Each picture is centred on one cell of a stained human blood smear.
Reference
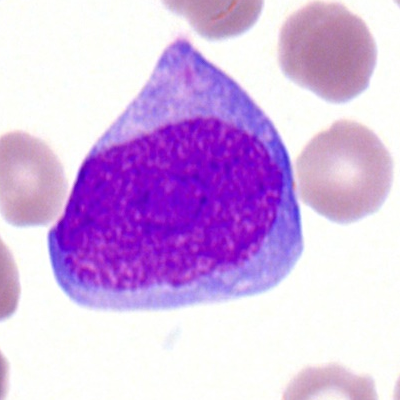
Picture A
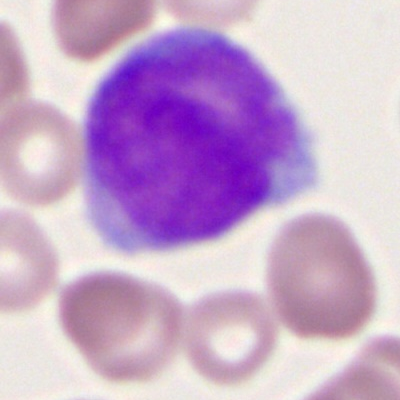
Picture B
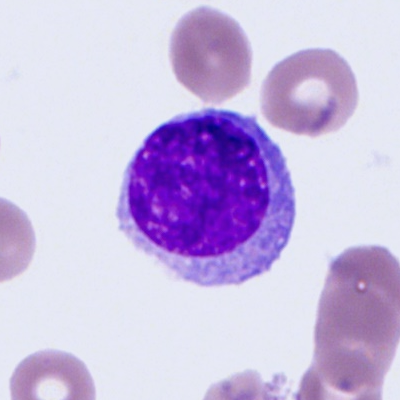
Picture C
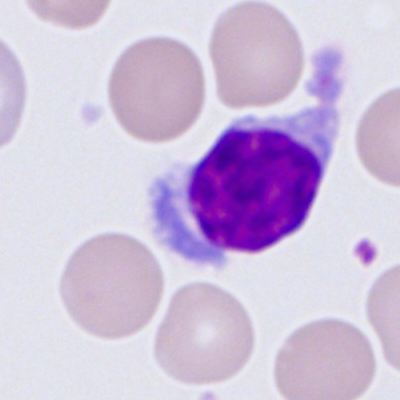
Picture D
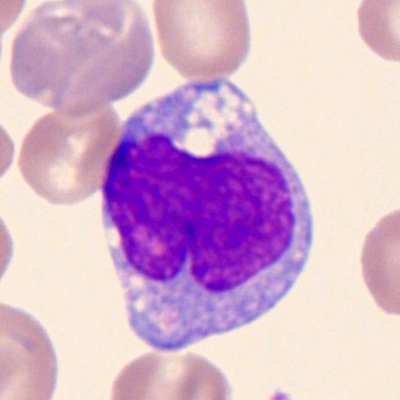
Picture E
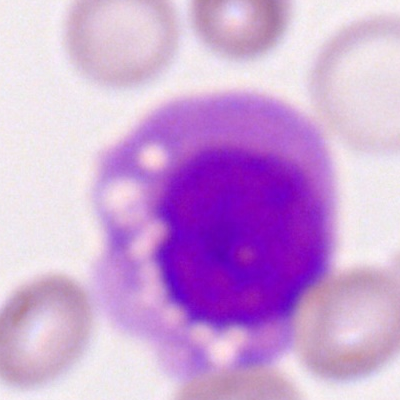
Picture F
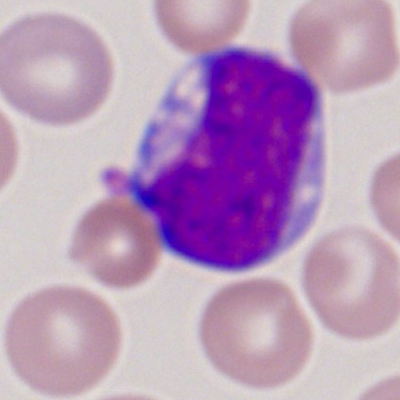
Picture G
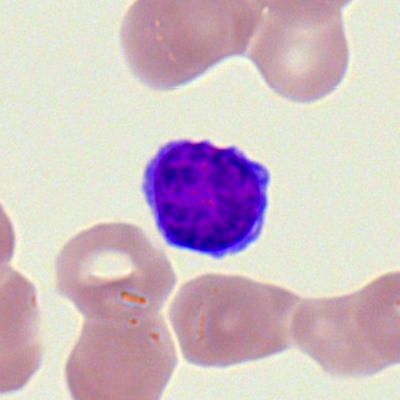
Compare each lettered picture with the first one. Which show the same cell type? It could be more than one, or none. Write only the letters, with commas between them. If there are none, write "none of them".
A, F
